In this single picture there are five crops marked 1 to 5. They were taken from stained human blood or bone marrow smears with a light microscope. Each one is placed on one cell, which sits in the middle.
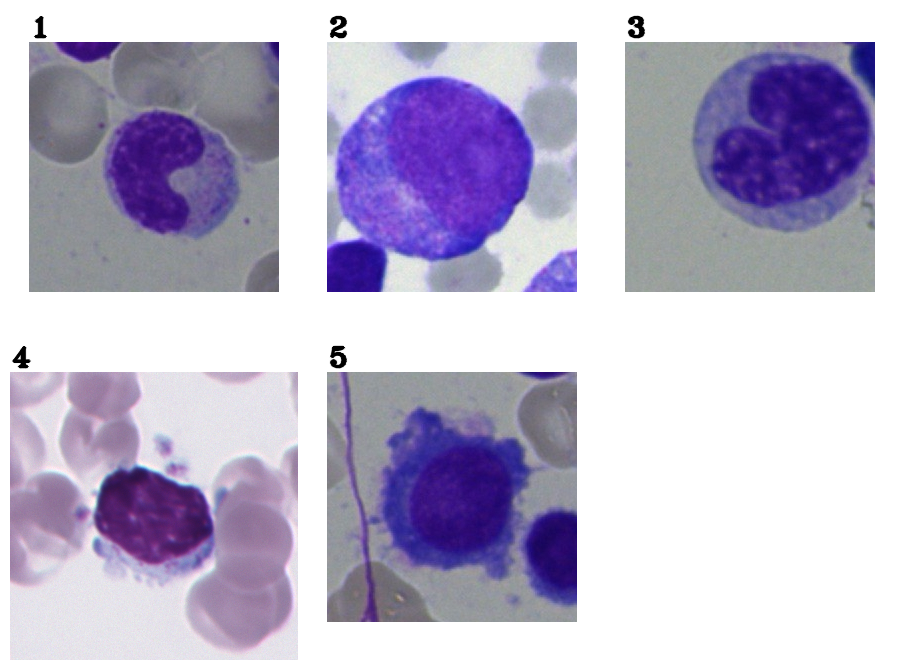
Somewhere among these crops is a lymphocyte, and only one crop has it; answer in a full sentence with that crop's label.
Crop 4 is the one to choose: it shows a lymphocyte.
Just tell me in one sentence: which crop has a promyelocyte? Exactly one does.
The one crop that shows a promyelocyte is crop 2.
